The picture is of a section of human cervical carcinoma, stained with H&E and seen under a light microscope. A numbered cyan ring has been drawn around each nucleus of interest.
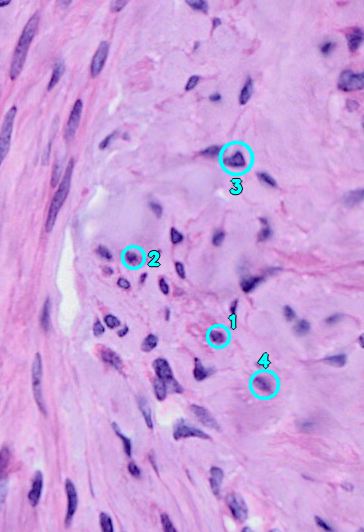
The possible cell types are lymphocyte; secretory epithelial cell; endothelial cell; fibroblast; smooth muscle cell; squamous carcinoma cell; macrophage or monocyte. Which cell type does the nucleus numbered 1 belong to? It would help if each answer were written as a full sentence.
In this section, the cell numbered 1 is a smooth muscle cell.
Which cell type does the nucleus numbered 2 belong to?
The cell whose nucleus carries the number 2 is a smooth muscle cell.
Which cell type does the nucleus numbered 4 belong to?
The cell that is numbered 4 is a smooth muscle cell.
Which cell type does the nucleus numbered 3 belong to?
The marked cell bearing number 3 is a fibroblast.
